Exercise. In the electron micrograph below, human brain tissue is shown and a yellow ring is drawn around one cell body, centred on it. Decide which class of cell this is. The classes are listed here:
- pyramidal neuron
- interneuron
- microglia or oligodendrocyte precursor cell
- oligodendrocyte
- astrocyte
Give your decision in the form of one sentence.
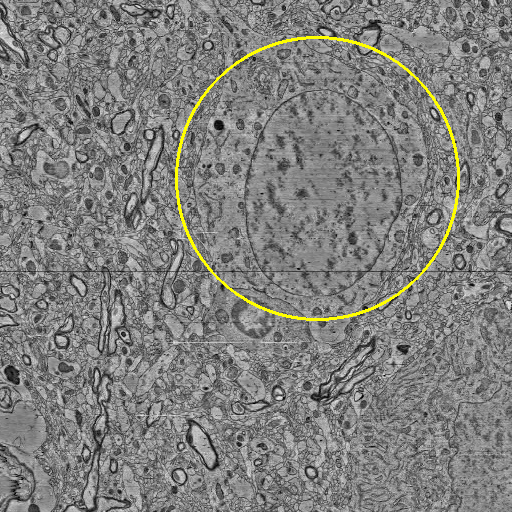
The cell body marked by the ring belongs to a pyramidal neuron.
